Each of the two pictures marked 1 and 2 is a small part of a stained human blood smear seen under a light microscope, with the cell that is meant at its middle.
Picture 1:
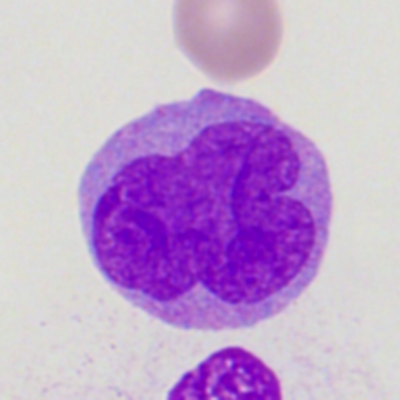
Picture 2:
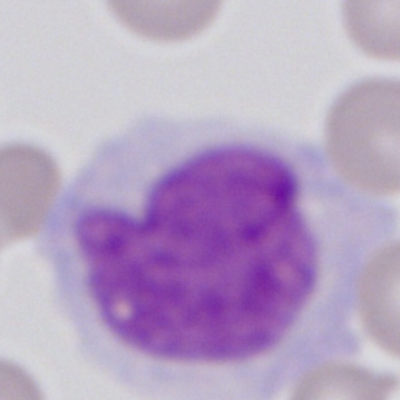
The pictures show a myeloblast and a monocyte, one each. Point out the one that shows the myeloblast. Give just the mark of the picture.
1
